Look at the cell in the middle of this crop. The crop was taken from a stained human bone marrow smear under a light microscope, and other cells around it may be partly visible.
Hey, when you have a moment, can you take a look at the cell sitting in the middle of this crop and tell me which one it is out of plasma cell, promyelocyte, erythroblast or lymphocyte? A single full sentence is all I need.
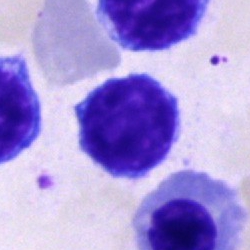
Located at the centre of the crop is a lymphocyte.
